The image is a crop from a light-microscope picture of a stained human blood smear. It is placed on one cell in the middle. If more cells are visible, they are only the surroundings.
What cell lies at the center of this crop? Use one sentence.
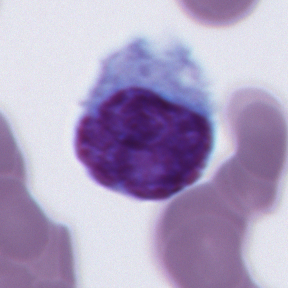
This crop is built around a monocyte at its centre.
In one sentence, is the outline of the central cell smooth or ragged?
Around its circumference, the cell has an uneven edge, ragged or projecting in places.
